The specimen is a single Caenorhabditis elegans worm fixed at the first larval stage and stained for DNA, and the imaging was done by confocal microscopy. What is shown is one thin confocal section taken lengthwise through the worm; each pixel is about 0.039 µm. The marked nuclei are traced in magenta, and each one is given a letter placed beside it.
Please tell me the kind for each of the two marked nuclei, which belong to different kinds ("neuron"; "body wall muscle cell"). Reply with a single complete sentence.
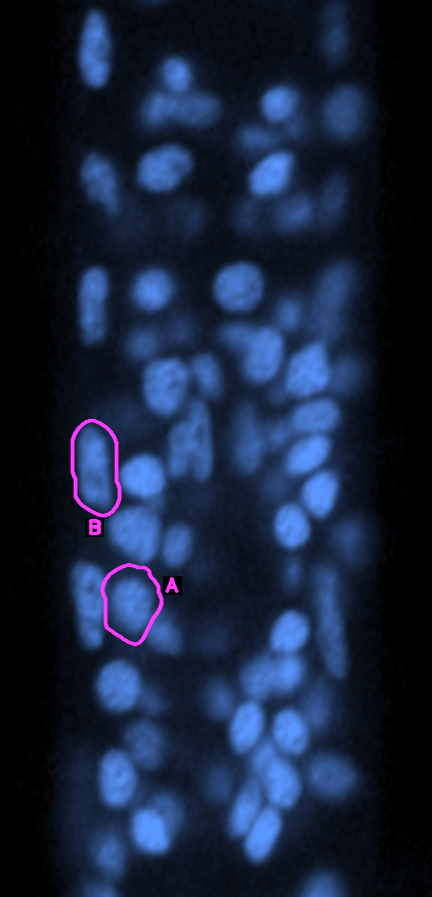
A is the nucleus of a neuron; B is the nucleus of a body wall muscle cell.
